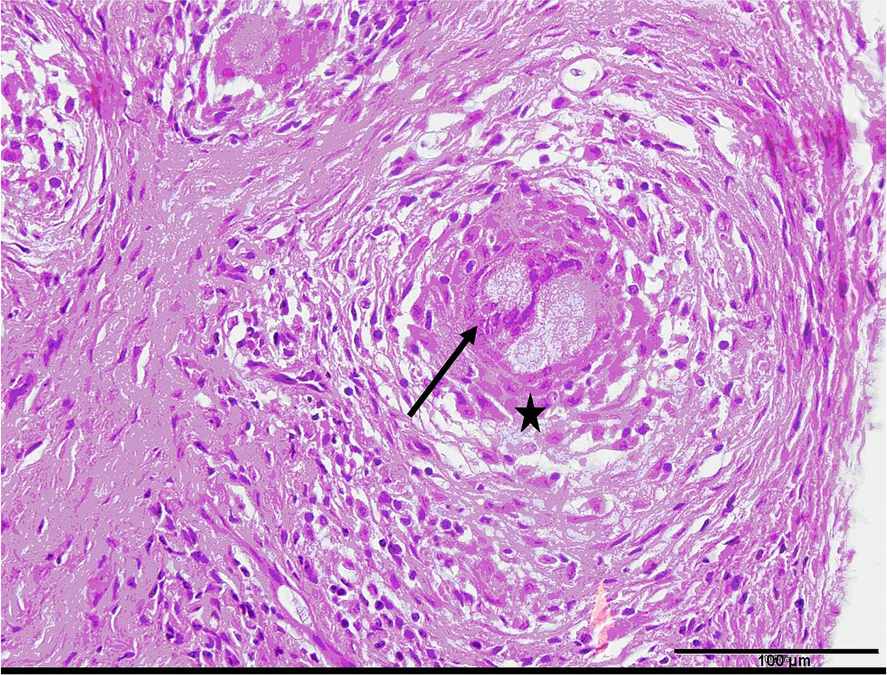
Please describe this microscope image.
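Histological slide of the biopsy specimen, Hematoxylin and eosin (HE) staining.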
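This is a granuloma: a rounded nodule of cells in the tissue, wrapped by concentric layers of elongated spindle cells and pink fibres. At its centre lie giant cells, with broad pale pink cytoplasm and several dark nuclei gathered at their edge. Around them sit epithelioid cells, which have abundant pale pink cytoplasm and oval, pale nuclei and lie closely packed. Smaller cells with dark round nuclei, the white blood cells, are scattered around the nodule. There is no central zone of structureless necrotic debris, so the centre stays made of living cells.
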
